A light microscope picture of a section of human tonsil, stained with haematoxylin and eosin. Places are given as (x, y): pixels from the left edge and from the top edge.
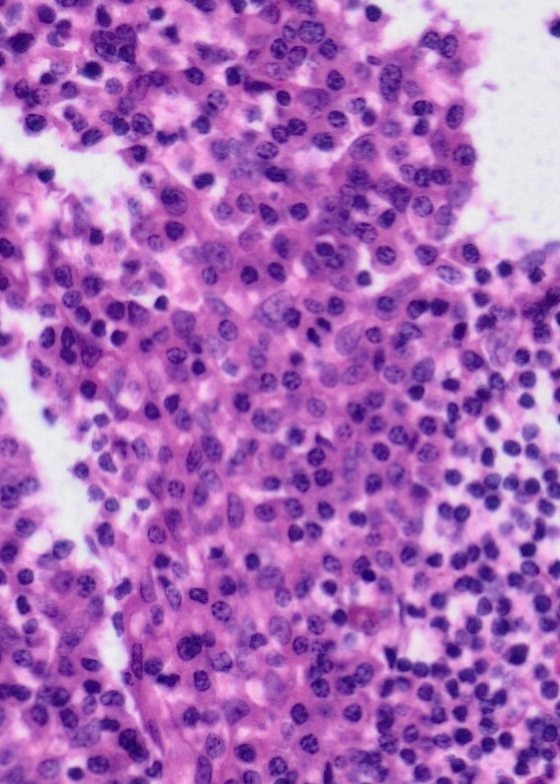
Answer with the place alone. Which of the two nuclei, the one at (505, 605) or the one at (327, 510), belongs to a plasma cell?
(327, 510)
